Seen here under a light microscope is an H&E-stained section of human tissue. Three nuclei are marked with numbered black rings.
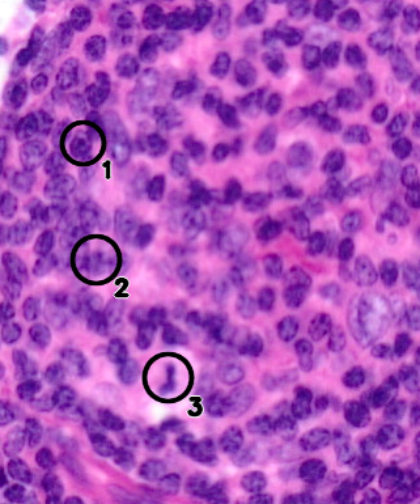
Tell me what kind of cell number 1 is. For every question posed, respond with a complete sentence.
The cell that is numbered 1 is a small lymphocyte.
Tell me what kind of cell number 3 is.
Corresponding to a proliferating B cell is the cell labelled 3.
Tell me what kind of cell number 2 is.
Regarding cell 2, this one is a proliferating B cell.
